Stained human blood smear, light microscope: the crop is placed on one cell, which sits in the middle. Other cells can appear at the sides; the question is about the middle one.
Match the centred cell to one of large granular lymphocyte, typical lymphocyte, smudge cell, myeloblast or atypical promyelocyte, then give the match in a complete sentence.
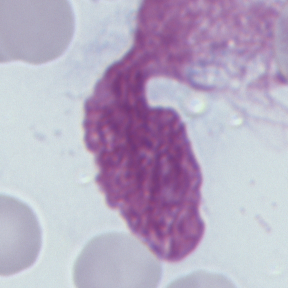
The crop centres on a single cell, and that cell is a smudge cell.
